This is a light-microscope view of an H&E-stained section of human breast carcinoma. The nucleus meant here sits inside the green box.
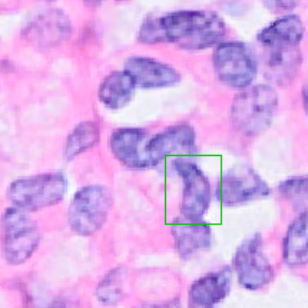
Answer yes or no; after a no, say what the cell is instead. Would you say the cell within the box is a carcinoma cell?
Yes.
